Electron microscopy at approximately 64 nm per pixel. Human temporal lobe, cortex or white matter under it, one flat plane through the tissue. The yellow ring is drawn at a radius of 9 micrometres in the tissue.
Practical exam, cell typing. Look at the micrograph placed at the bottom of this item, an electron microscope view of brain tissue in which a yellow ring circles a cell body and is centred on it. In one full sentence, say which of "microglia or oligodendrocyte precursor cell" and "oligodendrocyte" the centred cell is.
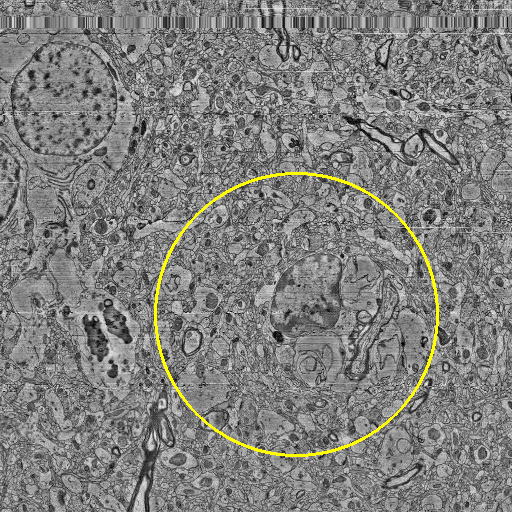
Given the options, a microglial cell or oligodendrocyte precursor cell fits the cell whose body the yellow ring is centred on.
